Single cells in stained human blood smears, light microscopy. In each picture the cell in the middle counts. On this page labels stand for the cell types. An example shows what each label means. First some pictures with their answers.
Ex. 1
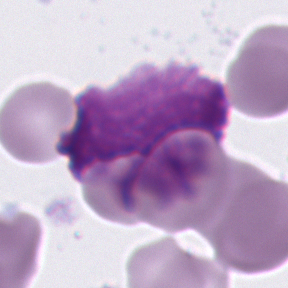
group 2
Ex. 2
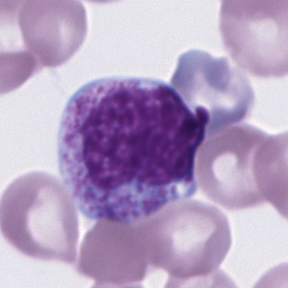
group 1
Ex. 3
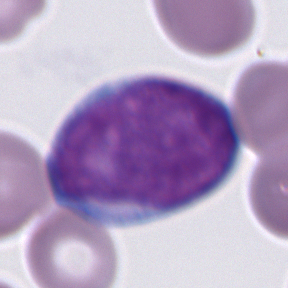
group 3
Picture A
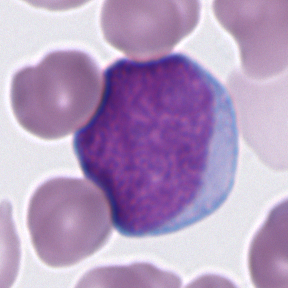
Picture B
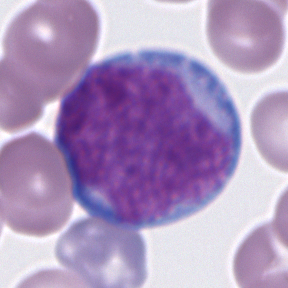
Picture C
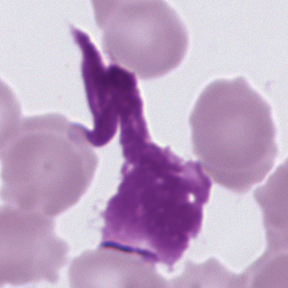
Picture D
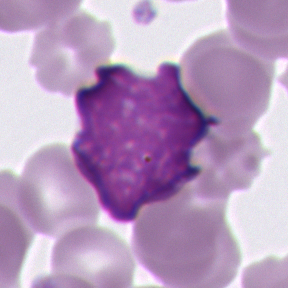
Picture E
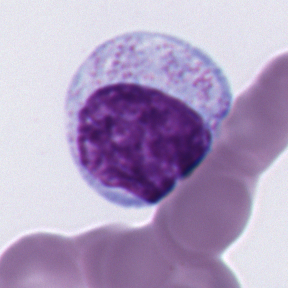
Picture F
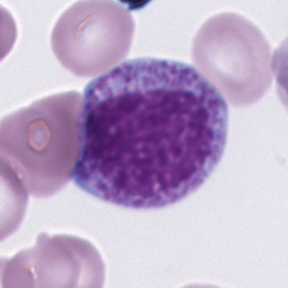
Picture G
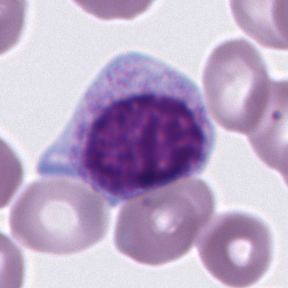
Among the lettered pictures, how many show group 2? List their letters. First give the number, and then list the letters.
2, namely C, D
